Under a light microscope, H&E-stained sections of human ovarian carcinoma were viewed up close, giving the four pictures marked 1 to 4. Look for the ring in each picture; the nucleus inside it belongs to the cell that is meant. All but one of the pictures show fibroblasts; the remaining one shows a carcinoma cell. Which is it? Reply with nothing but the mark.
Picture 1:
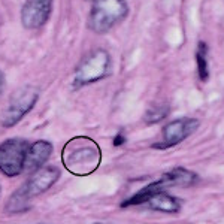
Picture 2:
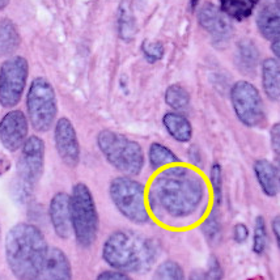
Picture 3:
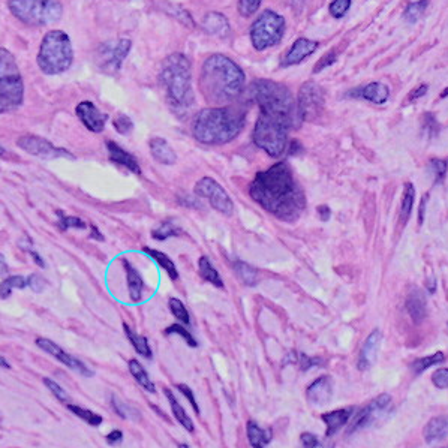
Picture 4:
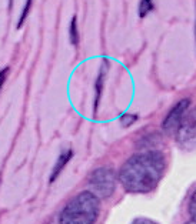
2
